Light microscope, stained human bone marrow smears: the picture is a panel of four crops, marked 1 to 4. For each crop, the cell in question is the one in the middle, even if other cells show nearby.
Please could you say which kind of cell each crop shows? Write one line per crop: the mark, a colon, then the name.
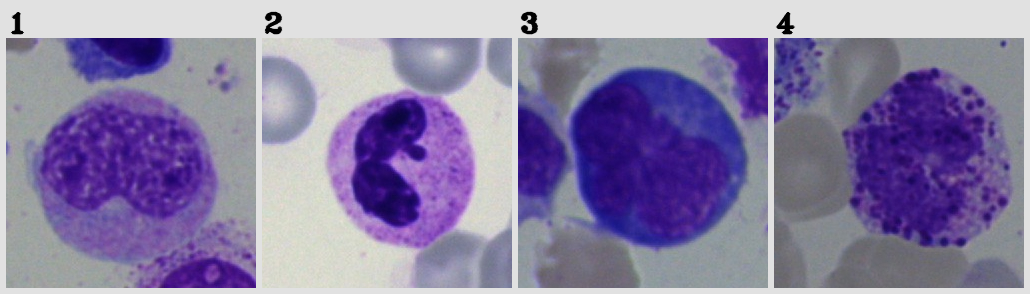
1: metamyelocyte
2: segmented neutrophil
3: blast
4: basophil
